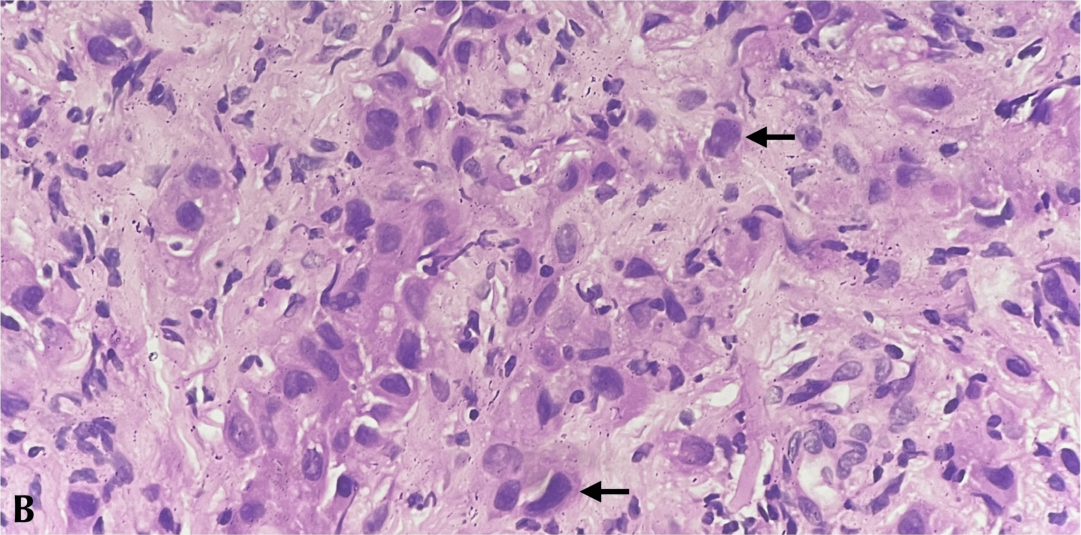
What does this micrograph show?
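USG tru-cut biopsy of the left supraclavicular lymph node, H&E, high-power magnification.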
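Large pleomorphic cells with enlarged, irregular, dark purple nuclei and moderate amounts of pink cytoplasm lie scattered and in loose groups within pale pink fibrous stroma. The nuclei vary markedly in size and shape, and smaller elongated spindle-shaped nuclei of stromal cells lie between the large cells.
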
